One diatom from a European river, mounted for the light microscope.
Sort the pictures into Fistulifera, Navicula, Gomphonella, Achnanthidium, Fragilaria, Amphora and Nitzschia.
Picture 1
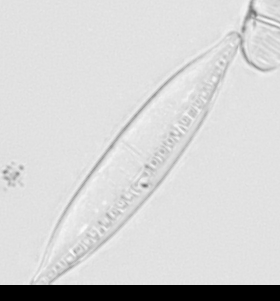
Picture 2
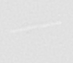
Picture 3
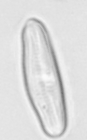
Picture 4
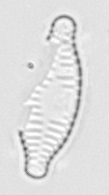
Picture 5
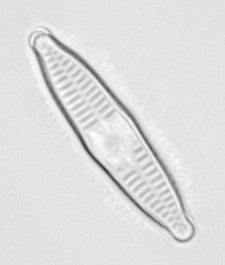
Nitzschia: 1
Fistulifera: 2
Achnanthidium: 3
Fragilaria: 4, 5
